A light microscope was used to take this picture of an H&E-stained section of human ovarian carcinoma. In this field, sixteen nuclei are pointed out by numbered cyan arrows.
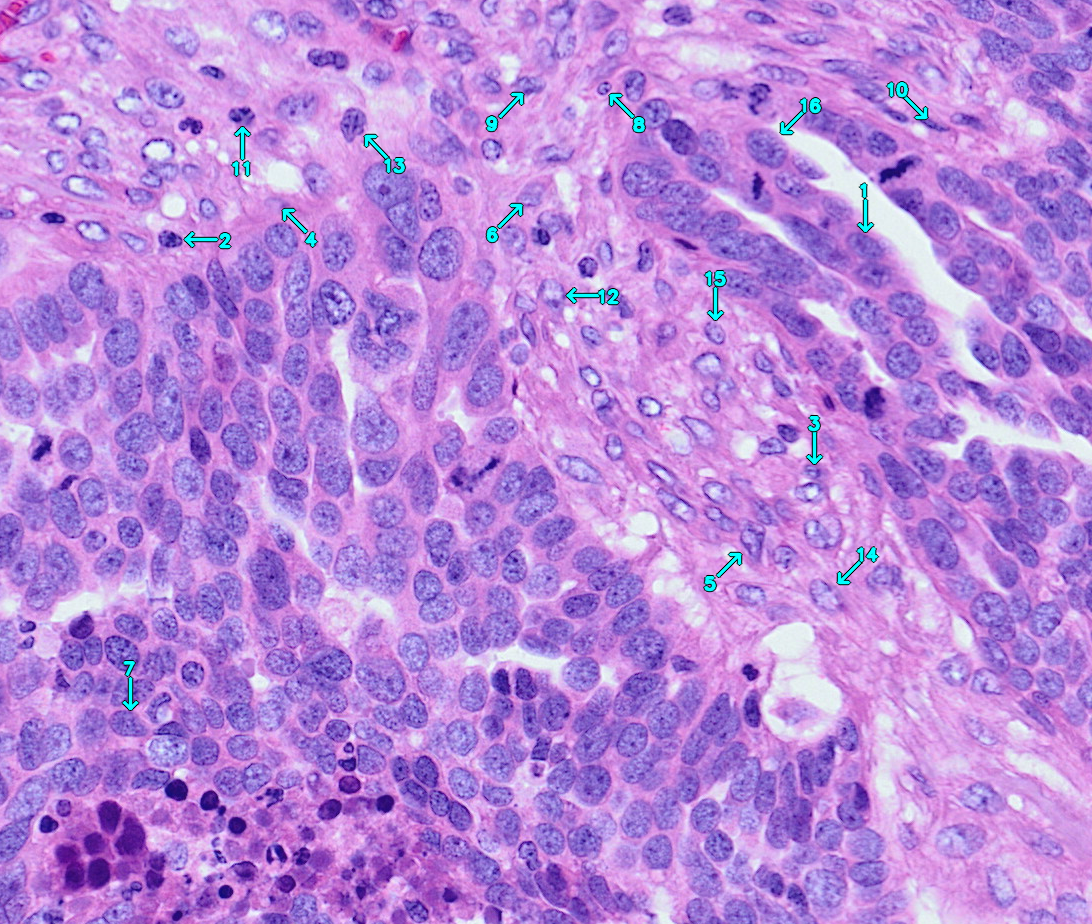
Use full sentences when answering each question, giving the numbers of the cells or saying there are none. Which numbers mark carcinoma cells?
The cells that have numbers 1, 7 and 16 are carcinoma cells.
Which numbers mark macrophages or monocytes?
Of the cells marked with numbers, cell 13 is the only one that is a macrophage or monocyte.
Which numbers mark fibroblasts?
The cells which carry the numbers 3, 4, 5, 6, 9, 10, 12, 14 and 15 are fibroblasts.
